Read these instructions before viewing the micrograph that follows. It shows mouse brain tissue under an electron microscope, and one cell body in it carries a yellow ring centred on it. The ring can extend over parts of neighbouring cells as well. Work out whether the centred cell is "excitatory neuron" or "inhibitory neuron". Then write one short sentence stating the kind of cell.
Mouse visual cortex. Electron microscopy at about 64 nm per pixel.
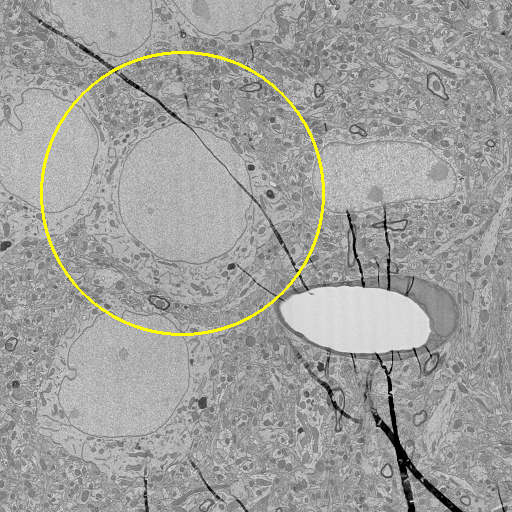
The ringed cell is an excitatory neuron.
